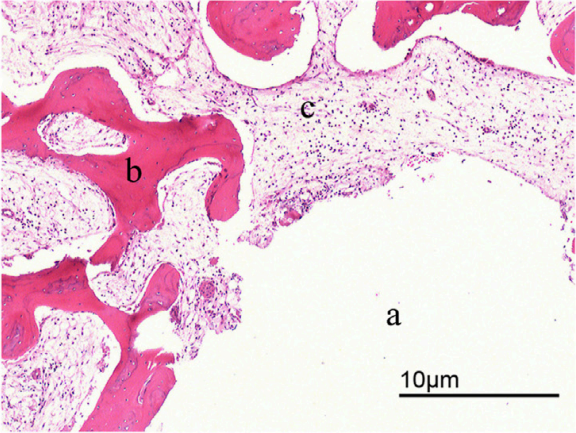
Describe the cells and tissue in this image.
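This section shows bone trabeculae as branching, homogeneous deep pink plates with small bone cells in lacunae. Between the trabeculae lies pale pink, loose fibrous tissue containing scattered spindle-shaped and small round nuclei. Dense clusters of inflammatory cells are not evident.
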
